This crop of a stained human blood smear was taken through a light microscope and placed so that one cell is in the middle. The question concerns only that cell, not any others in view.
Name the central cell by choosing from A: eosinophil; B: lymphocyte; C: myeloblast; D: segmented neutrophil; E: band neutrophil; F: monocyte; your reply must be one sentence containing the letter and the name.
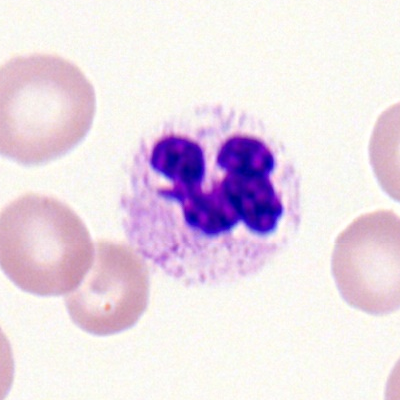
What sits in the middle of the crop is a segmented neutrophil, and option D is correct.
